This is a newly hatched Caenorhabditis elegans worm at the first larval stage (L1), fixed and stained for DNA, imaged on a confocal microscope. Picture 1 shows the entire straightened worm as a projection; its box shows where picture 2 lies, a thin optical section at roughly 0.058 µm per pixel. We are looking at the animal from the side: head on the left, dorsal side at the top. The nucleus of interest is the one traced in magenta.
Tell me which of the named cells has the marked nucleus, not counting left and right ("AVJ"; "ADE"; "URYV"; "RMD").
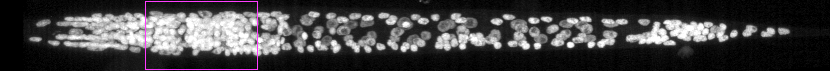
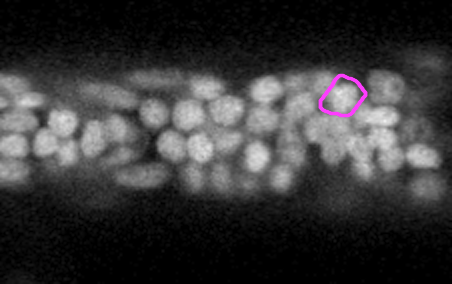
AVJ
